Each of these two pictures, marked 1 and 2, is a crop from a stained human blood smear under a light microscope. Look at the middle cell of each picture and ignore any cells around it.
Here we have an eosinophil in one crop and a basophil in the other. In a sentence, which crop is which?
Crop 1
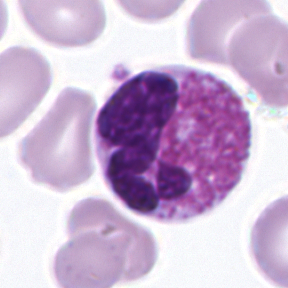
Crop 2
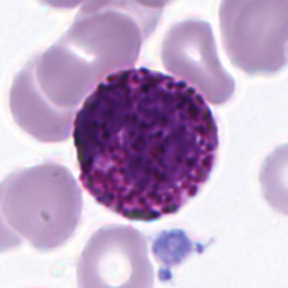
Crop 1 is an eosinophil, whilst crop 2 is a basophil.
